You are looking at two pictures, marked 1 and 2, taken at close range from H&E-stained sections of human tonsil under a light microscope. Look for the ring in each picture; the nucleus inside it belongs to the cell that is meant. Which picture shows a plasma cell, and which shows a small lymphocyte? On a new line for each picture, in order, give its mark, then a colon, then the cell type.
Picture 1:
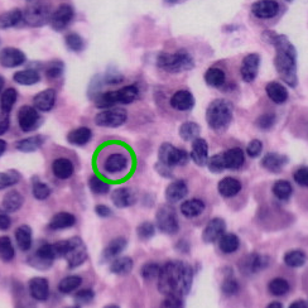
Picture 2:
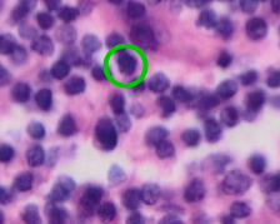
1: plasma cell
2: small lymphocyte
